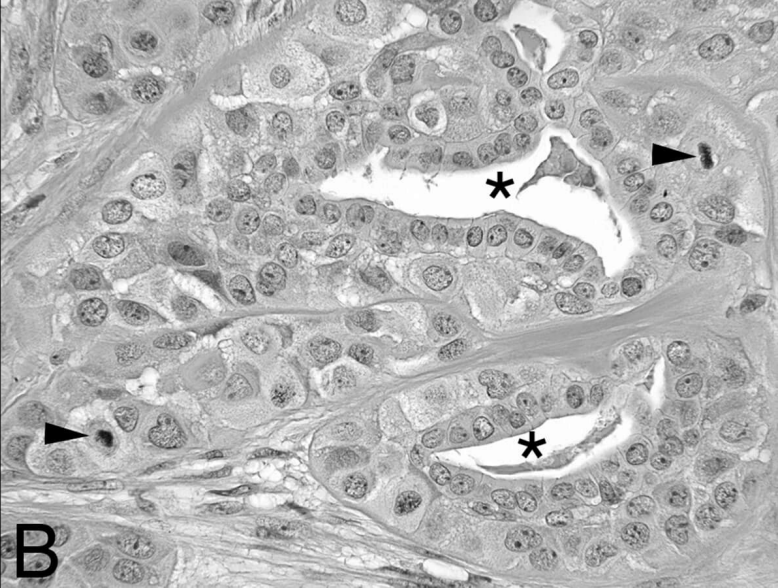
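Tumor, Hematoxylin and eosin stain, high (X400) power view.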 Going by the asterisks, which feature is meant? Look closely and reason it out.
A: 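Elongated, narrow empty clear spaces lie at the asterisks. Each space is lined by a single row of epithelial cells.
Slit-like glandular spaces.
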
